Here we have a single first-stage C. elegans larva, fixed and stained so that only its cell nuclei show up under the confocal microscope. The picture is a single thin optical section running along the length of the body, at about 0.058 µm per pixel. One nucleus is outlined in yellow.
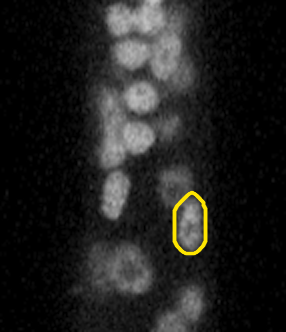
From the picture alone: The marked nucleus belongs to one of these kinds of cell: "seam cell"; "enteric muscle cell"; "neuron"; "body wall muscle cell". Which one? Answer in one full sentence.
What is marked is the nucleus of a body wall muscle cell.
